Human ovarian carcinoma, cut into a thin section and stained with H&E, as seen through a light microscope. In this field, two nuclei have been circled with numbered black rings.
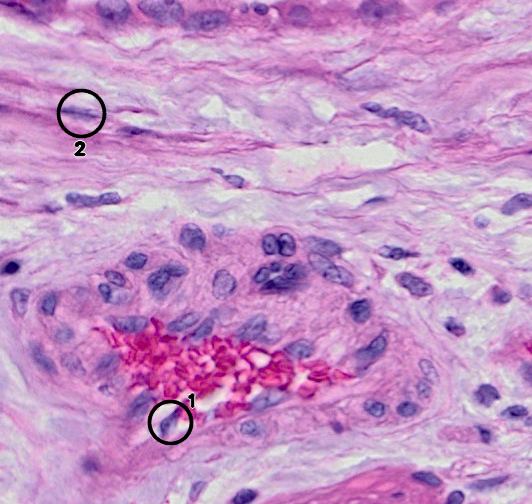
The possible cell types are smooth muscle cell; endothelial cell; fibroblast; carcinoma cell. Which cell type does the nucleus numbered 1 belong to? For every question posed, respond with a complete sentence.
The cell numbered 1 has been identified as an endothelial cell.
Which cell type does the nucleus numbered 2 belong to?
The marked cell with the number 2 is recognised as a fibroblast.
